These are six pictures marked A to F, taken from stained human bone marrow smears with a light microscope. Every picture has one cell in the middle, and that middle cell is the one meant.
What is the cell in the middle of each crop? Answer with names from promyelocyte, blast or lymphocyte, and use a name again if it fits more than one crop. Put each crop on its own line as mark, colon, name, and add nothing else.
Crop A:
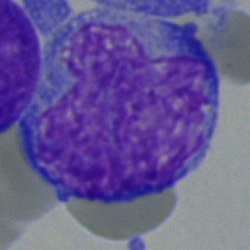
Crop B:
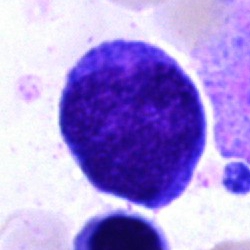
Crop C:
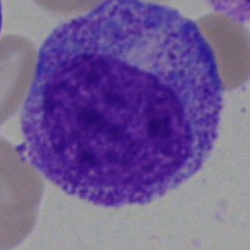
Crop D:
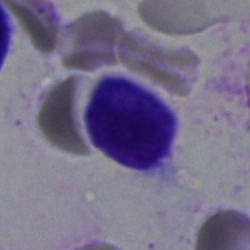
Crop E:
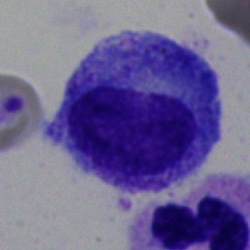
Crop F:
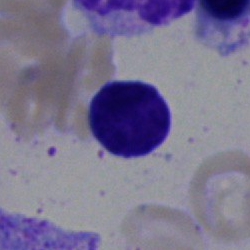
A: blast
B: blast
C: promyelocyte
D: lymphocyte
E: promyelocyte
F: lymphocyte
